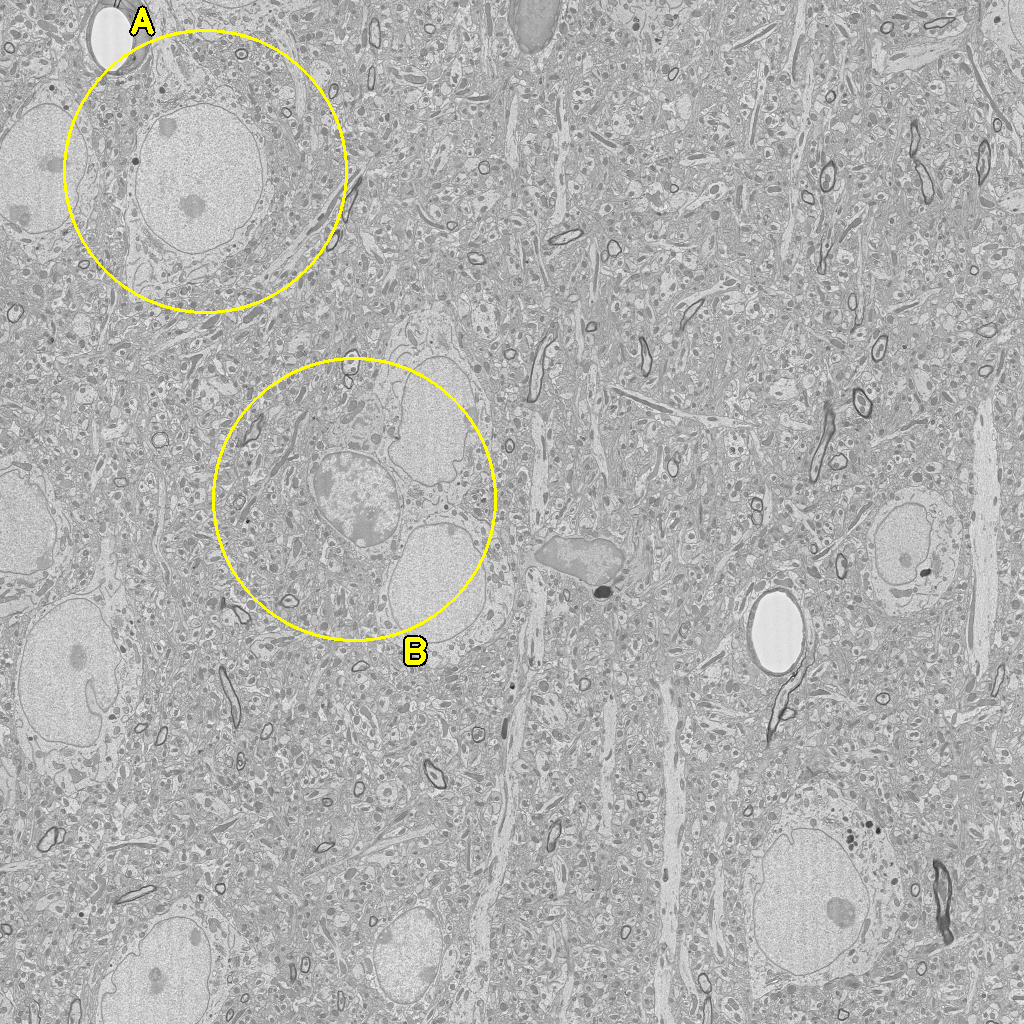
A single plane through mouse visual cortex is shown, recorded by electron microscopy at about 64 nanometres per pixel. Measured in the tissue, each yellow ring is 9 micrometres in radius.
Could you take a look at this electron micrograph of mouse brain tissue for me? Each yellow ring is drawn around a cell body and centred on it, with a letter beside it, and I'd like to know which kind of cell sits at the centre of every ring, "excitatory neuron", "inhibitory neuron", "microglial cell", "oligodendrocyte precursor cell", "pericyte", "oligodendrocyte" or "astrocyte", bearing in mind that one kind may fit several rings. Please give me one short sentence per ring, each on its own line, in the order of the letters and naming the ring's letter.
Ring A is centred on an excitatory neuron.
Ring B is centred on an oligodendrocyte.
